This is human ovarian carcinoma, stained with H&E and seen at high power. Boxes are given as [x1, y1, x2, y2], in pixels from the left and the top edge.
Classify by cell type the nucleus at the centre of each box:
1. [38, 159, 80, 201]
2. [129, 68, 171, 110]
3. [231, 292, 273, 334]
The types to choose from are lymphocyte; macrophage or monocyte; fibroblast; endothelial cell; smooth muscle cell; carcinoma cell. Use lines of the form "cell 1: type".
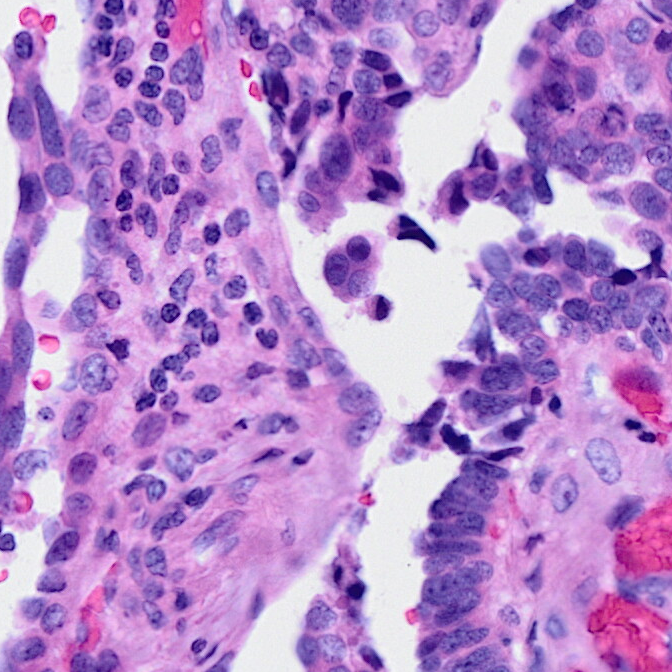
cell 1: carcinoma cell
cell 2: lymphocyte
cell 3: lymphocyte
